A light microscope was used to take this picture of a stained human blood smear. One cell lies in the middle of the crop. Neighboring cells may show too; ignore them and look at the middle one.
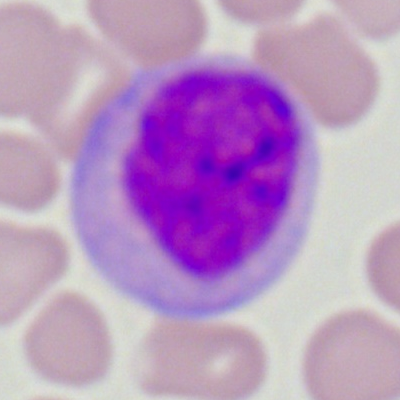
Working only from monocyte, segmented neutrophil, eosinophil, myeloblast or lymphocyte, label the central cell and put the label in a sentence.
Of the cells in this crop, the central one is a monocyte.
